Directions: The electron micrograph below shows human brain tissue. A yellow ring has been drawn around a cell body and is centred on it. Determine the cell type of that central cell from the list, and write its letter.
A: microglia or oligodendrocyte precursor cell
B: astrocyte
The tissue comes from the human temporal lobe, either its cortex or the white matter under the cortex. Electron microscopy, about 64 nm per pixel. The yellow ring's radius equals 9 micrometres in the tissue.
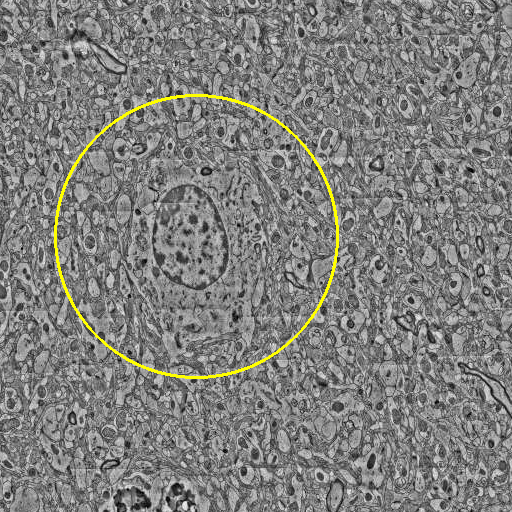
B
